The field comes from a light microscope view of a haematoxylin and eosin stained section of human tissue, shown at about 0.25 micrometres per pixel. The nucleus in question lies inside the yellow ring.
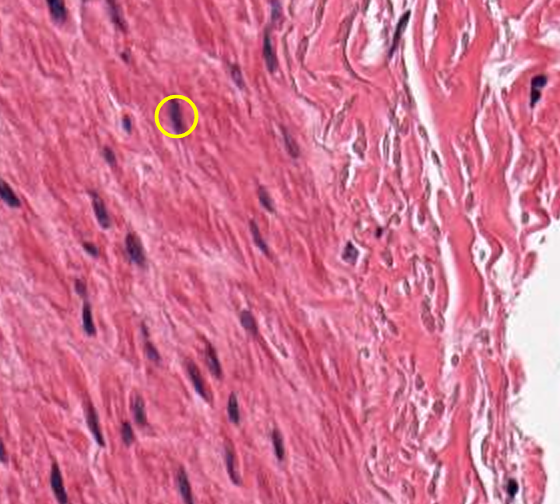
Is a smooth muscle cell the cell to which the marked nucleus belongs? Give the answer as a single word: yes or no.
yes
